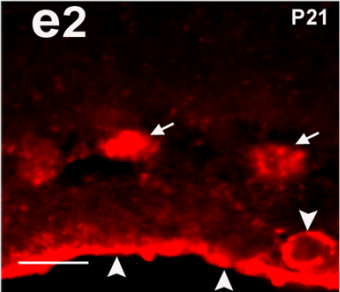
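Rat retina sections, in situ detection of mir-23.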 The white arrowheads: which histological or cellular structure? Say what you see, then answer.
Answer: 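A continuous bright red band runs along the lower edge of the tissue. At lower right a round ring-shaped profile with a bright wall.
Hence: inner limiting membrane and a capillary.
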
